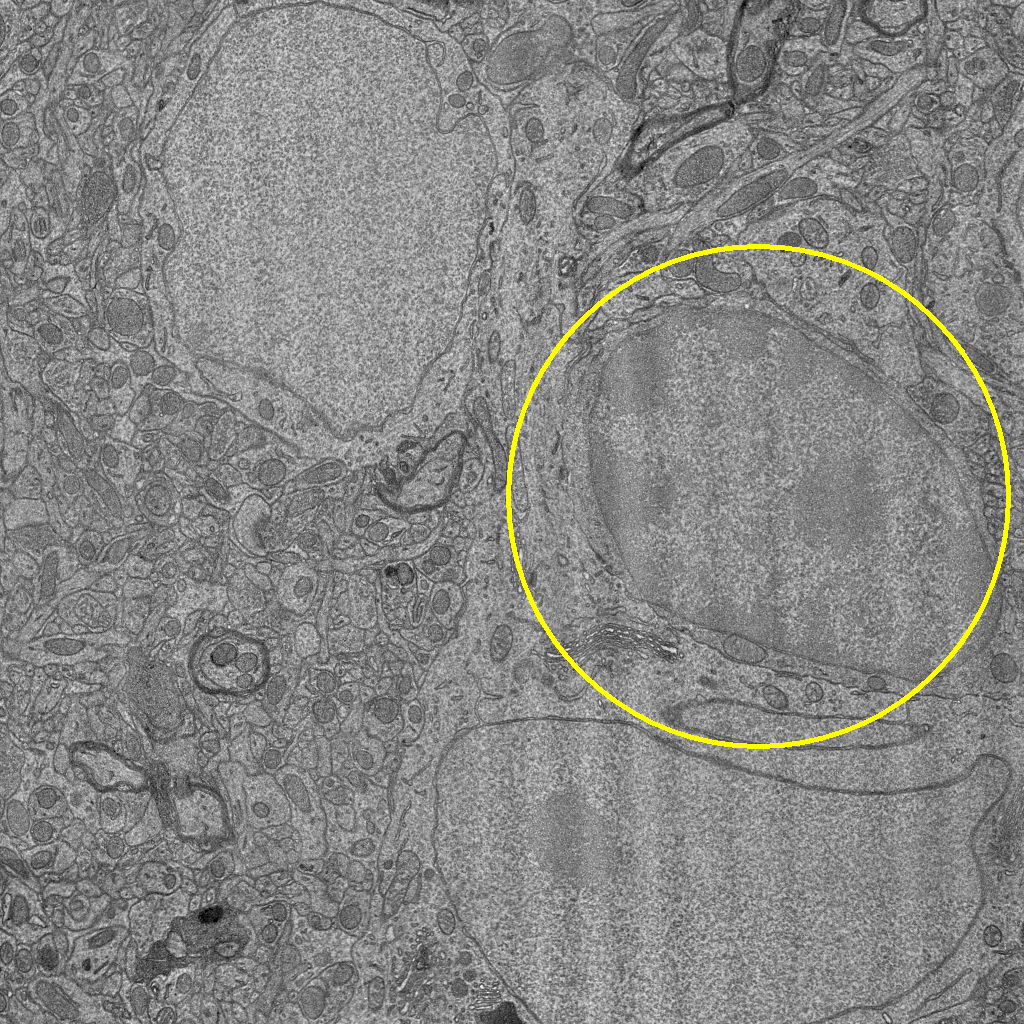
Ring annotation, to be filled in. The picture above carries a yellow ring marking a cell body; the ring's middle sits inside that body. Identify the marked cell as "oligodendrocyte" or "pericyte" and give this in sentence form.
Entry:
The cell at the middle of the ring is an oligodendrocyte.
